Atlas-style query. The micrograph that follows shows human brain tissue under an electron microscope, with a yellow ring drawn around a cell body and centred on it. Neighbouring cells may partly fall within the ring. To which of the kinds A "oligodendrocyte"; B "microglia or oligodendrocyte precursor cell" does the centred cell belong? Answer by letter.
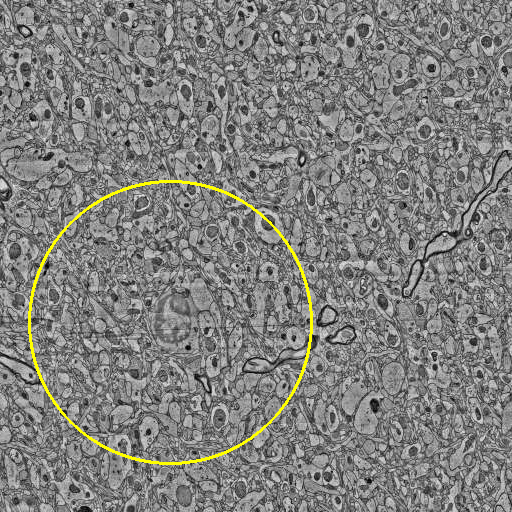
A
